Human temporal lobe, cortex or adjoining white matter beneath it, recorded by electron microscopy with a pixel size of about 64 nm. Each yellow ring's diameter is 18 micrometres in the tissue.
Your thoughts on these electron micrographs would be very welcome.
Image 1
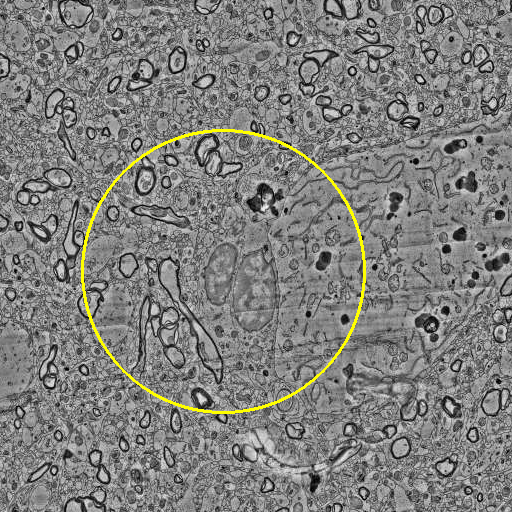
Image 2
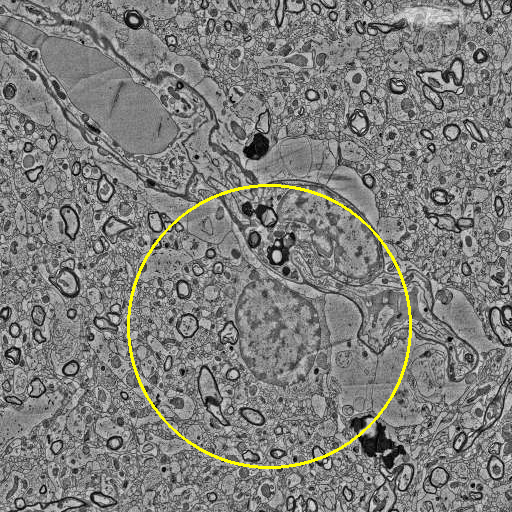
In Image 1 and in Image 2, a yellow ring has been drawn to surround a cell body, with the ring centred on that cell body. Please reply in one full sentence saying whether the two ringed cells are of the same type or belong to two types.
The ringed cells in Image 1 and Image 2 are of the same type.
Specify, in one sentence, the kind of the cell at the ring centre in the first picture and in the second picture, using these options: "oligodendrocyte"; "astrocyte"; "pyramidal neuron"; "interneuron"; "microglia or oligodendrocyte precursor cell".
The cell in the first picture is an oligodendrocyte, and so is the one in the second.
